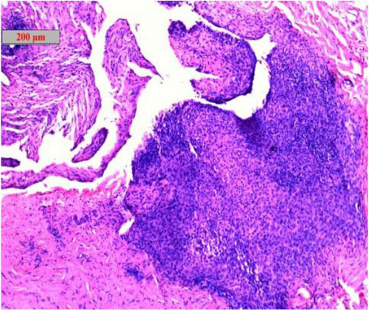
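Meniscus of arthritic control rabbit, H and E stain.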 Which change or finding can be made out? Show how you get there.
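A large, densely cellular purple mass lies against the pink fibrous tissue. The cellular mass borders a cleft-like space and spreads into the adjacent tissue.
Conclusion: pannus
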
